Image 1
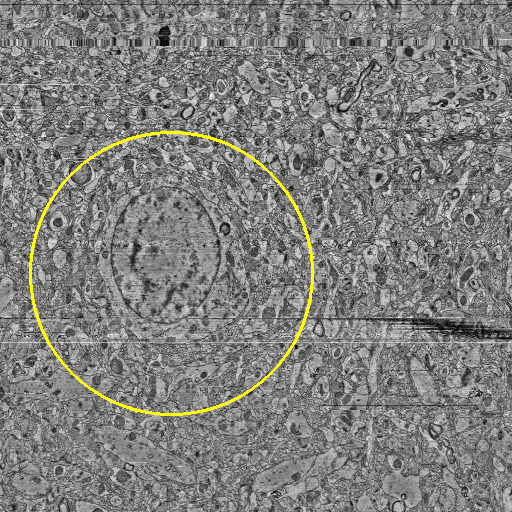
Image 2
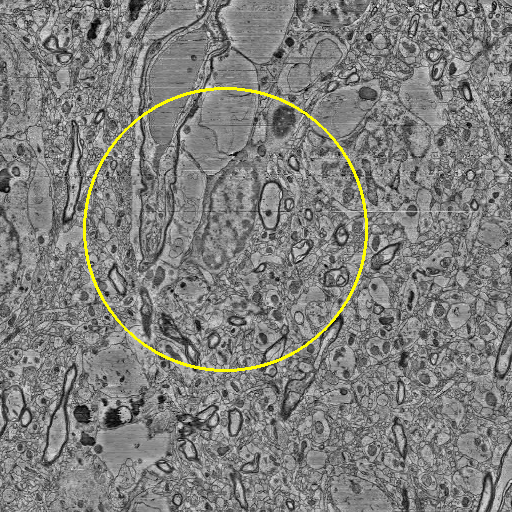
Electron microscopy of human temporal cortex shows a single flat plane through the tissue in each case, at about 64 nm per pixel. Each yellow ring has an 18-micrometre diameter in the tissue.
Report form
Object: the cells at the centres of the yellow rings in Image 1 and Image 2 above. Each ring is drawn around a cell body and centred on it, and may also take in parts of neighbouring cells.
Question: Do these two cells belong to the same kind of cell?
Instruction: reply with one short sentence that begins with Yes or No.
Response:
No, they belong to two kinds of cell.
